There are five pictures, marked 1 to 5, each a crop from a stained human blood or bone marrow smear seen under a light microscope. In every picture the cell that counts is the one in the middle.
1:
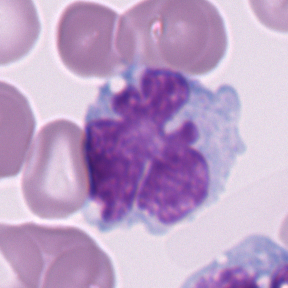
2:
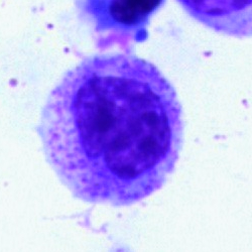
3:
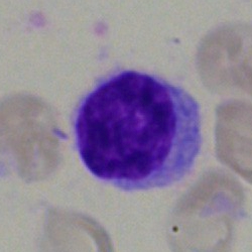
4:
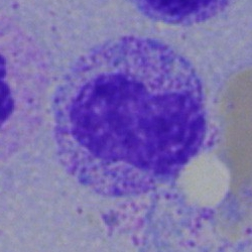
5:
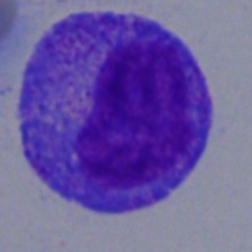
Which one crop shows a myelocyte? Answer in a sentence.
Of the crops shown, crop 2 depicts a myelocyte.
